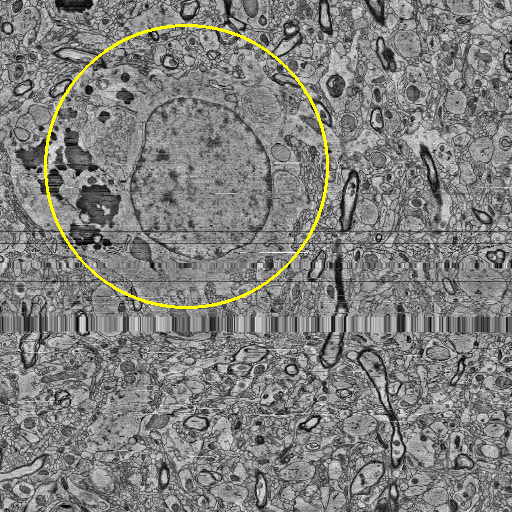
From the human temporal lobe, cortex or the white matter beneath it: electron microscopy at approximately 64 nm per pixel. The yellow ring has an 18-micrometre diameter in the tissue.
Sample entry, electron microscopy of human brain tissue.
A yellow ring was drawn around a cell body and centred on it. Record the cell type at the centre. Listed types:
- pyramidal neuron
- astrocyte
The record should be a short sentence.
The cell at the ring's centre is an astrocyte.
